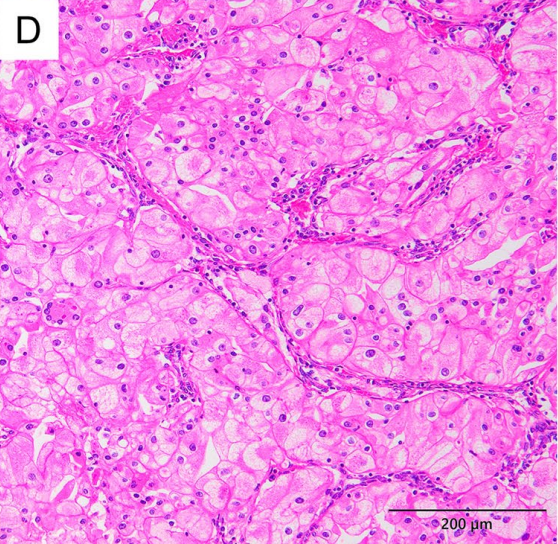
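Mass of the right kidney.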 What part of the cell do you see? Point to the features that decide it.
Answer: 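Clear cytoplasm. Cell membranes stand out as thin pink lines around the pale cytoplasm.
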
